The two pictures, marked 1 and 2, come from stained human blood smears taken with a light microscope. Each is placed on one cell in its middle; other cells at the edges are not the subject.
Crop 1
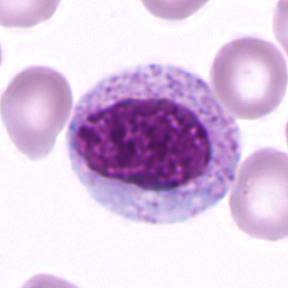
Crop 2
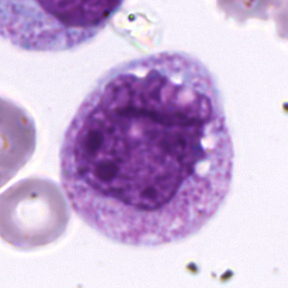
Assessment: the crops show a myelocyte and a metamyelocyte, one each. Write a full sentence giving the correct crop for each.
In short, crop 1 is a metamyelocyte and crop 2 is a myelocyte.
